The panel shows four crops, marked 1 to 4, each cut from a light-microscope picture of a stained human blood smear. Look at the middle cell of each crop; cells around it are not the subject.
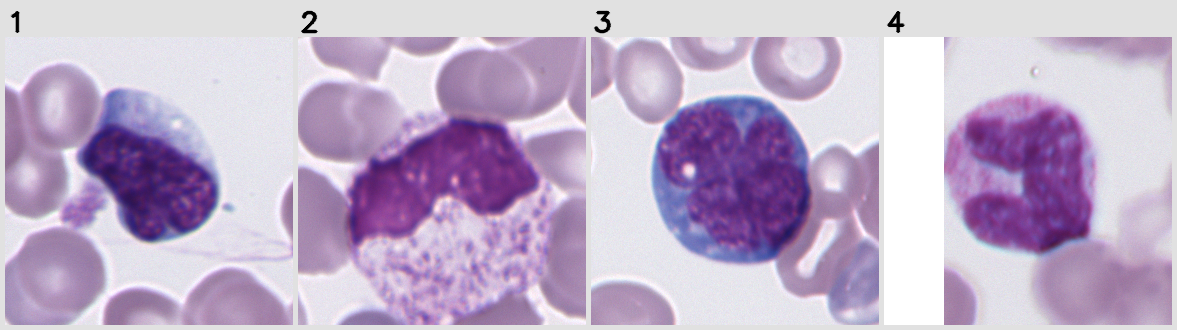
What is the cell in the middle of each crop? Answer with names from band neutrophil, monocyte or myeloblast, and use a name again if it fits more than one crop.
1: monocyte
2: band neutrophil
3: myeloblast
4: band neutrophil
